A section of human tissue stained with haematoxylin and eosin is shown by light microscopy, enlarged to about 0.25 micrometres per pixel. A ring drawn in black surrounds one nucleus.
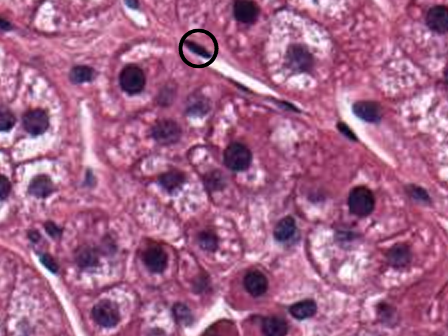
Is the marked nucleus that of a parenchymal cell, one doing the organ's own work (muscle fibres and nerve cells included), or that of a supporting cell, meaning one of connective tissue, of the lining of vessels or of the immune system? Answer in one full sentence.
Among the cells in view, a supporting cell holds the marked nucleus.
